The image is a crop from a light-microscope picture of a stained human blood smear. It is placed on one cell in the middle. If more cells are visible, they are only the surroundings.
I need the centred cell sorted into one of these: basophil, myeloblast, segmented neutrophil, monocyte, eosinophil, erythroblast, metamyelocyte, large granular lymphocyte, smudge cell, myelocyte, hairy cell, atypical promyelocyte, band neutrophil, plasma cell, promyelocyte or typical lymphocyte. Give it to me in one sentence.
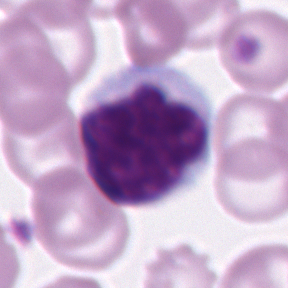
As for the central cell, it is a typical lymphocyte.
